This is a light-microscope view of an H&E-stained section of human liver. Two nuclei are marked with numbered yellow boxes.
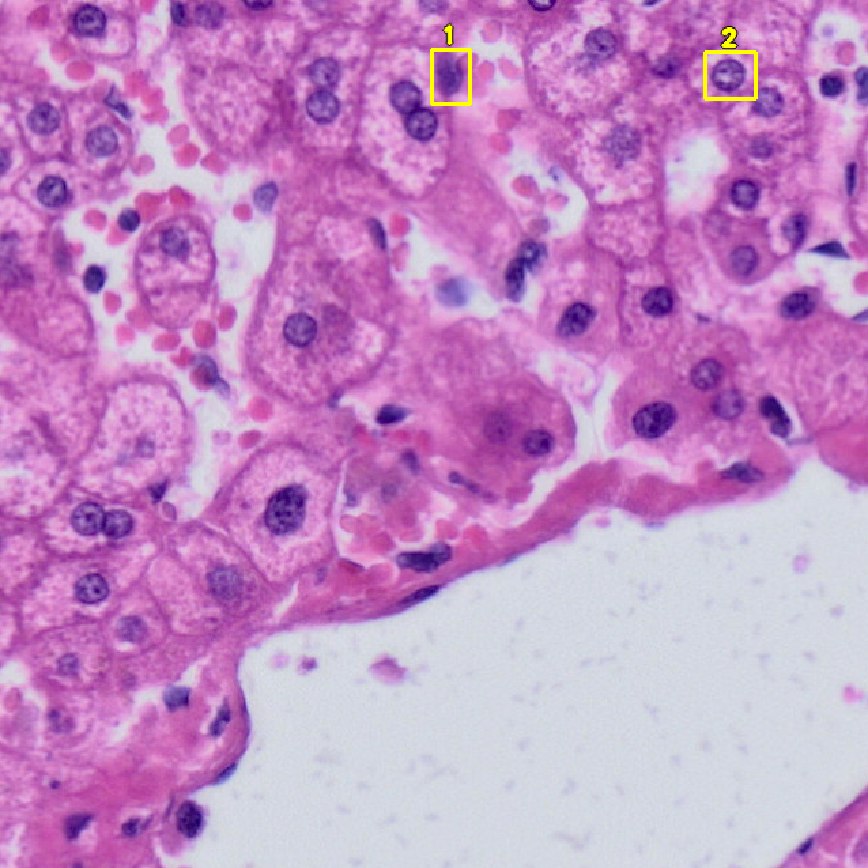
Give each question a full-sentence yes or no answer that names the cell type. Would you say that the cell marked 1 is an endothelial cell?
Yes, number 1 corresponds to an endothelial cell.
